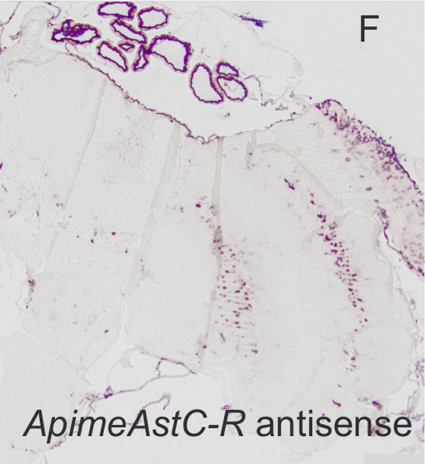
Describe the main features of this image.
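Brain section through the optic lobe with purple-stained cell bodies between pale, columnar neuropil regions. Small dark purple cell bodies form rows and clusters in the middle of the section, between neighbouring neuropil masses. A dense band of purple-stained cells lies along the upper right margin. The neuropils themselves remain pale with fine striation. Above the brain tissue lie several ring-shaped profiles with strongly purple walls.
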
